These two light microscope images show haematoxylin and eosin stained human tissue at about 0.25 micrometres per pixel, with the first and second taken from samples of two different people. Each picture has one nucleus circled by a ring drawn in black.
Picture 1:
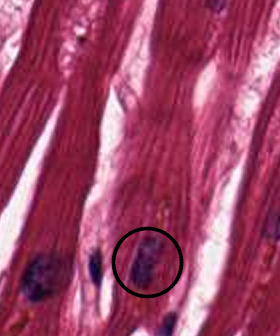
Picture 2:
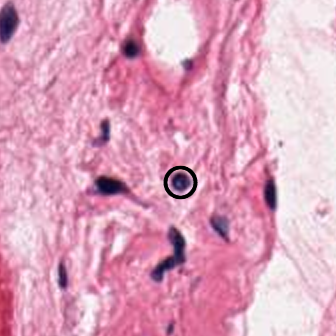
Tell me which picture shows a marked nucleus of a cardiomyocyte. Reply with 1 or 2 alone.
1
